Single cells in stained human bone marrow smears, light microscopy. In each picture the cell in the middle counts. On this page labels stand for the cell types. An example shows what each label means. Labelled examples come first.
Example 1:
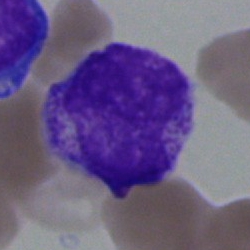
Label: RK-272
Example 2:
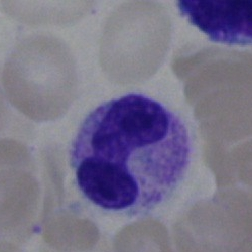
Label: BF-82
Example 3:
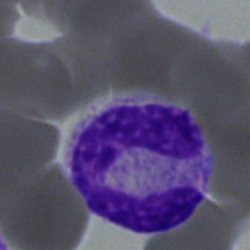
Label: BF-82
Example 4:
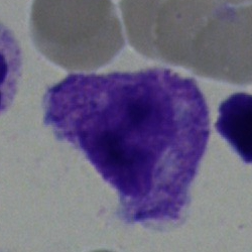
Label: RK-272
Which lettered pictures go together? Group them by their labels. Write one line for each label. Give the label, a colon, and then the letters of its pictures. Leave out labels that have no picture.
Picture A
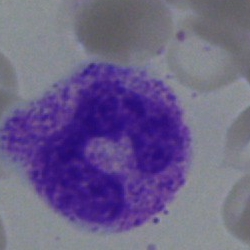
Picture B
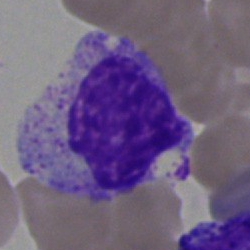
RK-272: B
BF-82: A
